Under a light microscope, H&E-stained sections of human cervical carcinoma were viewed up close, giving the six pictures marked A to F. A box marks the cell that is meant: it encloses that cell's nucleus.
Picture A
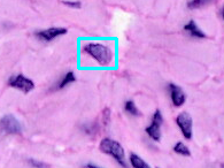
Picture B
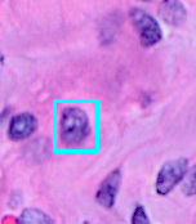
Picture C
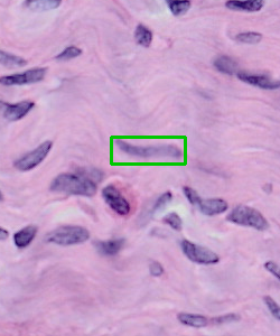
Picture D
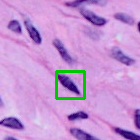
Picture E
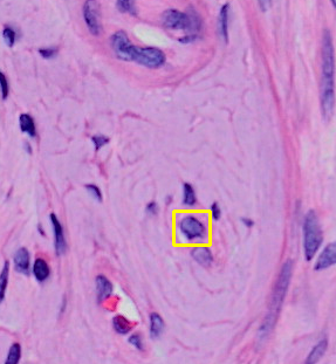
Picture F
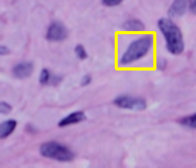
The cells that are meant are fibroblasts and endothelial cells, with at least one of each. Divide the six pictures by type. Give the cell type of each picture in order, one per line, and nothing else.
fibroblast
endothelial cell
fibroblast
fibroblast
endothelial cell
fibroblast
